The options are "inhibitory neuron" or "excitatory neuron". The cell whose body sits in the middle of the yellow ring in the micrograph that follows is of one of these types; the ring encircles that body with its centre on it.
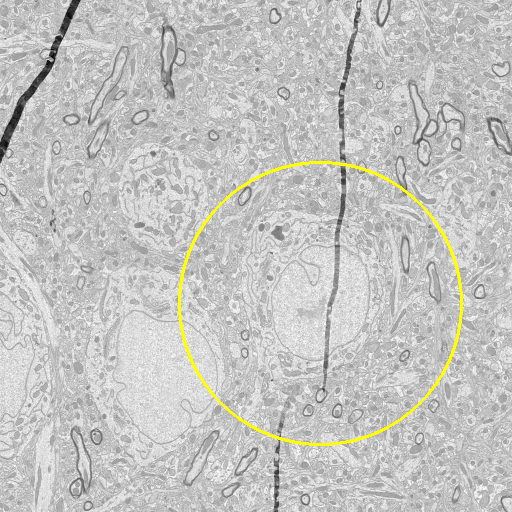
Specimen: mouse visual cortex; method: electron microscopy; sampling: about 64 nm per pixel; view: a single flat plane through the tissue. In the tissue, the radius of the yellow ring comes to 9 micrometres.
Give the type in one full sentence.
Going by the micrograph, the cell centred in the yellow ring is an inhibitory neuron.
